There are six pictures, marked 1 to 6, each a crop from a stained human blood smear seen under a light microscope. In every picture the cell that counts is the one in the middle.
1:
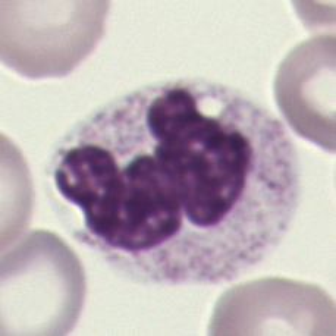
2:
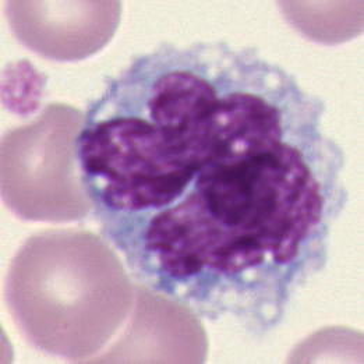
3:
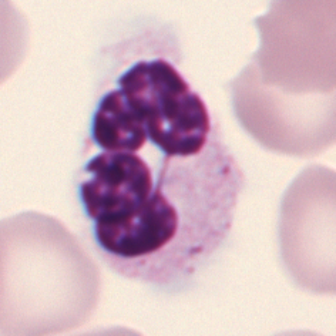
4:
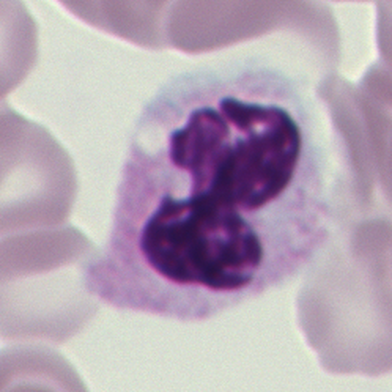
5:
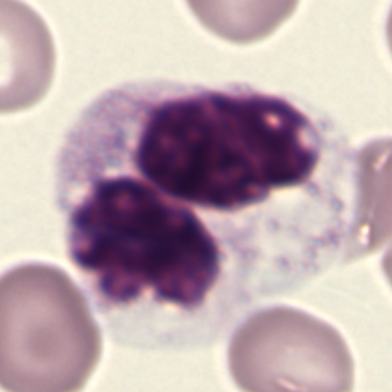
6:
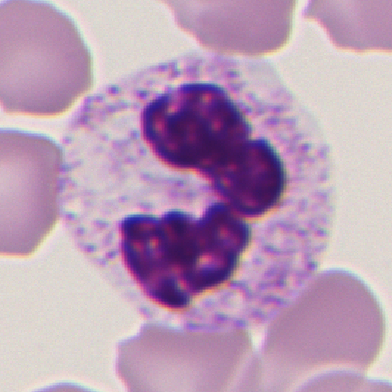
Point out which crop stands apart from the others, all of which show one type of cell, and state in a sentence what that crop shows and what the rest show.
Whereas the other crops show segmented neutrophils, crop 2 is a monocyte.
